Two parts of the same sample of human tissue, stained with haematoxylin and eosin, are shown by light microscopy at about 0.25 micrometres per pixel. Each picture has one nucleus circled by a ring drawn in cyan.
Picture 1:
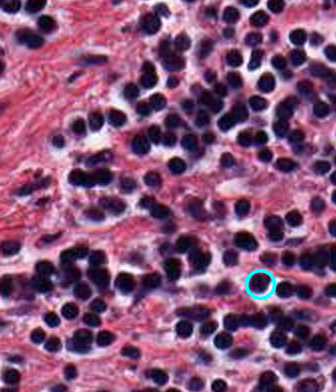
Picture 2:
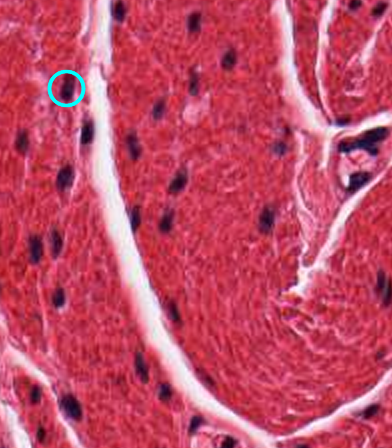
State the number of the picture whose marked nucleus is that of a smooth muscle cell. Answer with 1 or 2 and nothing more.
2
